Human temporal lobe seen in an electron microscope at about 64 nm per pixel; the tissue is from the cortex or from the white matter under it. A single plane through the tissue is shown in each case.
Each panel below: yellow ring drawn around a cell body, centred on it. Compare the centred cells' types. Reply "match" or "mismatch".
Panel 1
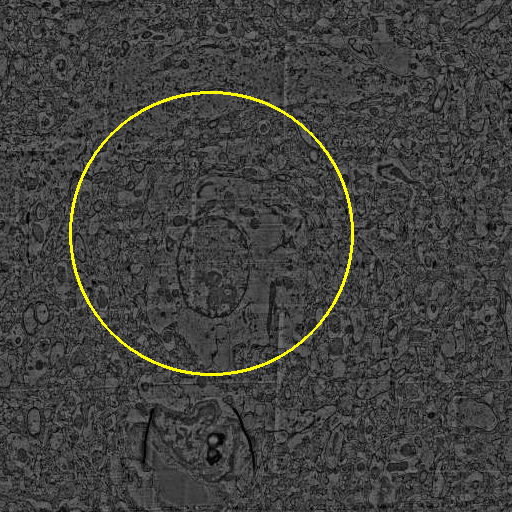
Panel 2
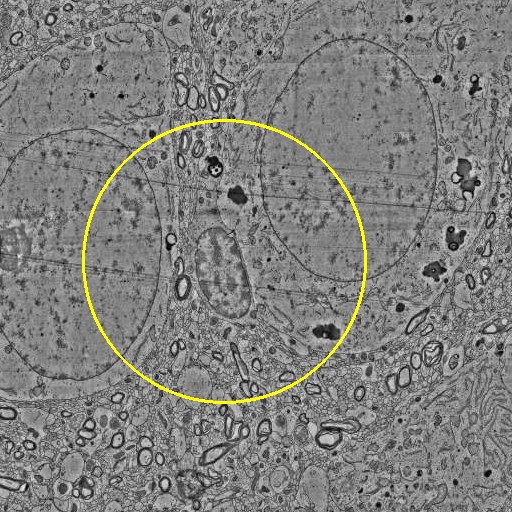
mismatch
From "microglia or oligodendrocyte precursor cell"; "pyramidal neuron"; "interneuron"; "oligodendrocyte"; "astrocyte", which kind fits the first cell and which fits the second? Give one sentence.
The cell marked in the first picture is an astrocyte, and the one marked in the second is an oligodendrocyte.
